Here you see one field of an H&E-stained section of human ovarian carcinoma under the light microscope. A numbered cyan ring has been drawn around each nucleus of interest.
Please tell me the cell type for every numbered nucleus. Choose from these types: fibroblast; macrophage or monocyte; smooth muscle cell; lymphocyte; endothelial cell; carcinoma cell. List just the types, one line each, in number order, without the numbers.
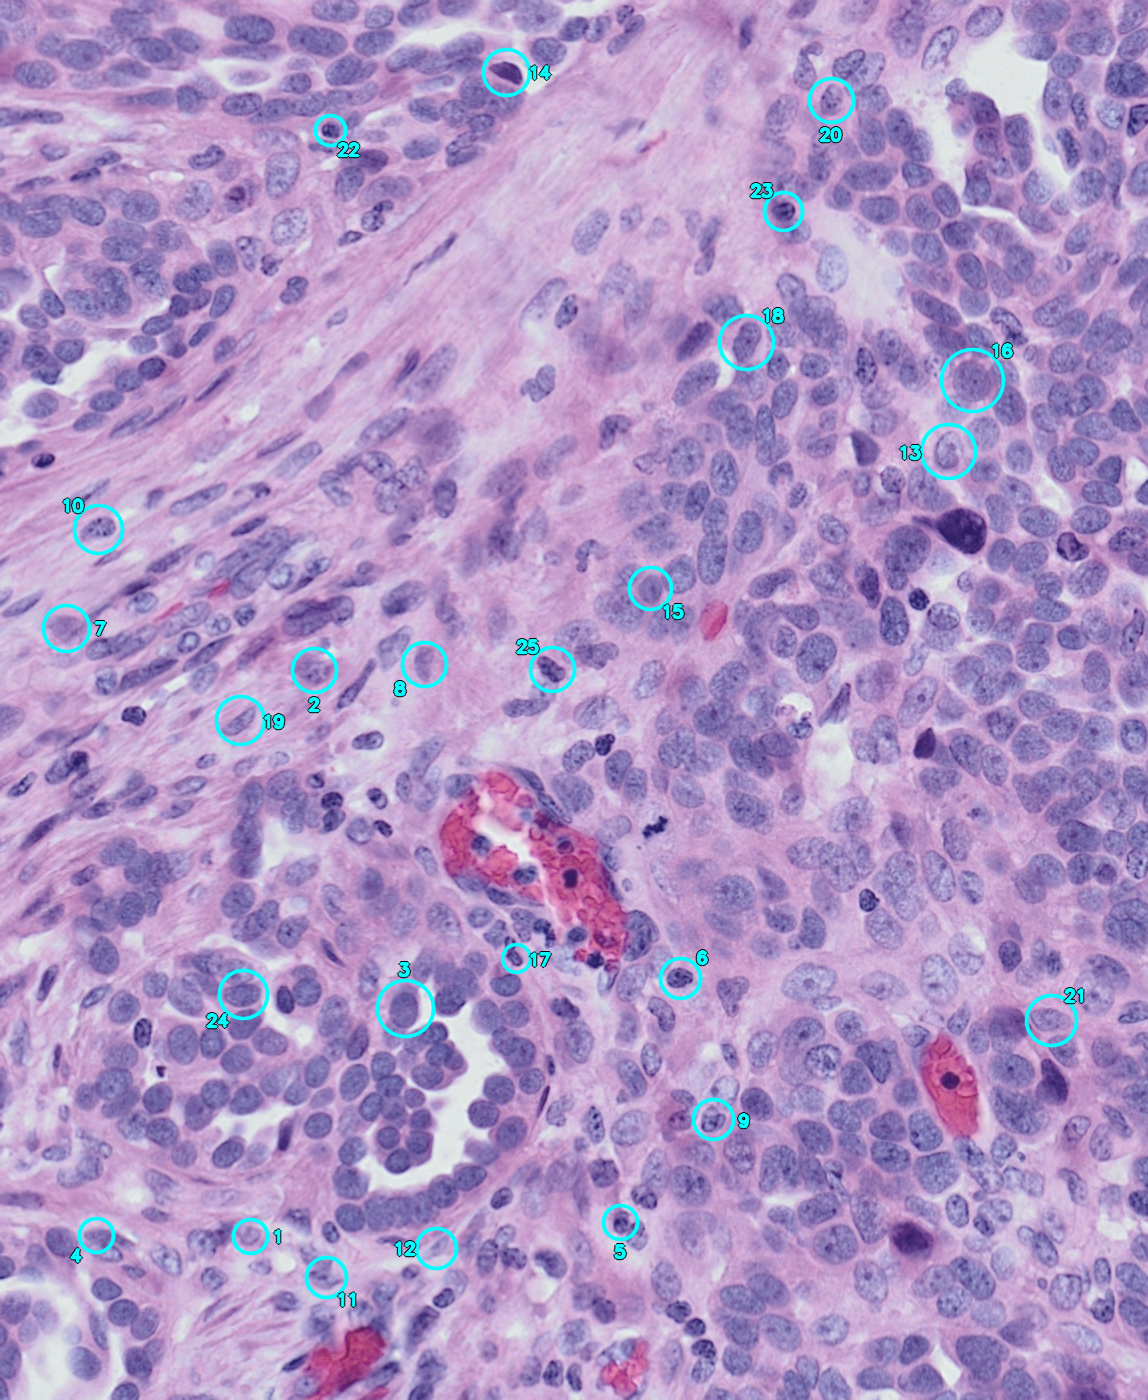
fibroblast
fibroblast
carcinoma cell
fibroblast
lymphocyte
lymphocyte
fibroblast
fibroblast
macrophage or monocyte
macrophage or monocyte
fibroblast
fibroblast
carcinoma cell
carcinoma cell
carcinoma cell
carcinoma cell
lymphocyte
carcinoma cell
fibroblast
macrophage or monocyte
carcinoma cell
lymphocyte
lymphocyte
carcinoma cell
lymphocyte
